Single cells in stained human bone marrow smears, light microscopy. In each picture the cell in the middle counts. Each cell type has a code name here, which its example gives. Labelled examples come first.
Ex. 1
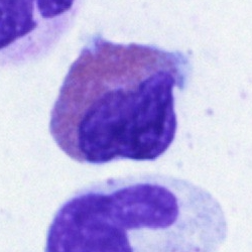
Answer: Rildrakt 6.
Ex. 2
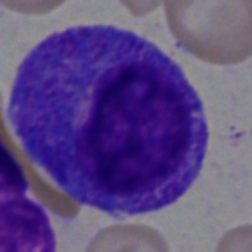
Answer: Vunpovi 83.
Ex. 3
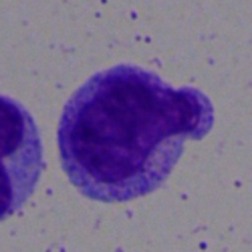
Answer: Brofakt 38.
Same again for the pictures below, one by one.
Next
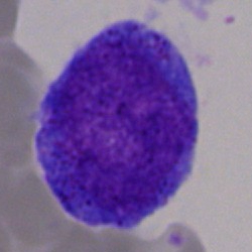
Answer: Vunpovi 83.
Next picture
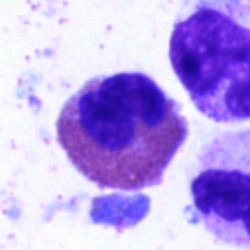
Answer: Rildrakt 6.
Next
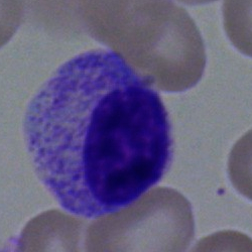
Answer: Brofakt 38.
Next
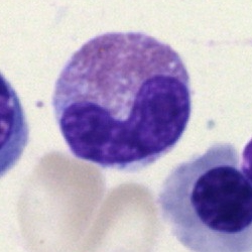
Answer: Rildrakt 6.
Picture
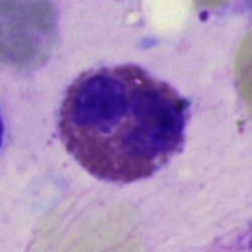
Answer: Rildrakt 6.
